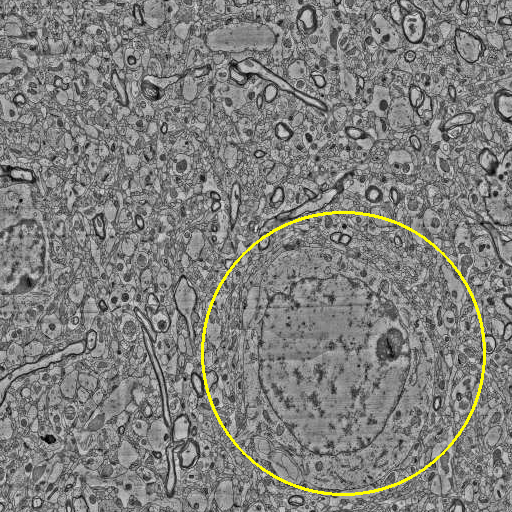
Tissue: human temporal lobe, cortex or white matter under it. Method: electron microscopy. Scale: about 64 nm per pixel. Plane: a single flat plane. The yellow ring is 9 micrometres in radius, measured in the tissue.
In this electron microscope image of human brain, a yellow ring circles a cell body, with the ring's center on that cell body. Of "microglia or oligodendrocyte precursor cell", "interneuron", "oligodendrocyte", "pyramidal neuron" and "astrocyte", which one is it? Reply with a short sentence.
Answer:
It is a pyramidal neuron at the center of the ring.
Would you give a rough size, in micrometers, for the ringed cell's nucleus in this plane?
In this plane the nucleus spans approximately 12 by 10 micrometers.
